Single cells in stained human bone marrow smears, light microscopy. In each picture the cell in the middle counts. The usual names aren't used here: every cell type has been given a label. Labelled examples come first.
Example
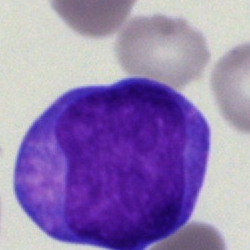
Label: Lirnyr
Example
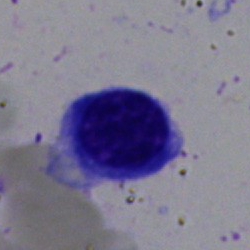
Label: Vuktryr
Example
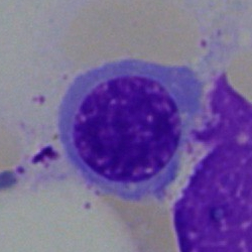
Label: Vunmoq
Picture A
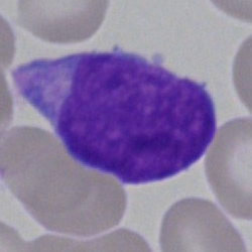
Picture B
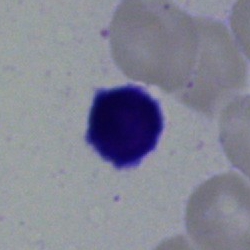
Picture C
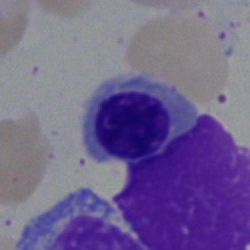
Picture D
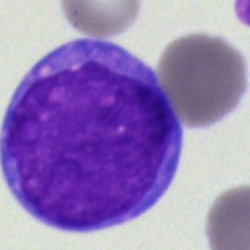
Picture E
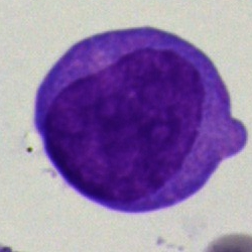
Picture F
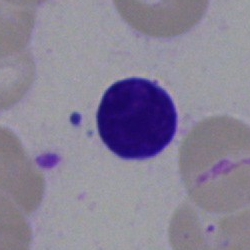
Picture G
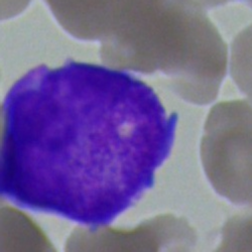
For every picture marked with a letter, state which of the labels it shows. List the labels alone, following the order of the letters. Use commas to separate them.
Lirnyr, Vuktryr, Vunmoq, Lirnyr, Lirnyr, Vuktryr, Lirnyr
